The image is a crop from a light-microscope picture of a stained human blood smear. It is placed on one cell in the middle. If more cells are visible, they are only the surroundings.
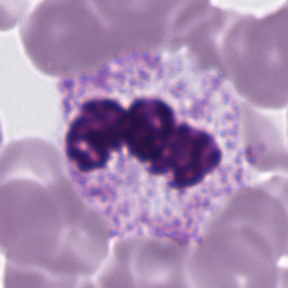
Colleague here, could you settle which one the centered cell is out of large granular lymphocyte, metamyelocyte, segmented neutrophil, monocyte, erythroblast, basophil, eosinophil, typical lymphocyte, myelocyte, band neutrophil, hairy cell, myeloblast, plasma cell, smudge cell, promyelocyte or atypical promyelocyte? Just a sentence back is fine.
The target cell in the middle of the crop is a segmented neutrophil.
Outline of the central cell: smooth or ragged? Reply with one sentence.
In outline, the cell is irregular, ragged in stretches or drawn into projections.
